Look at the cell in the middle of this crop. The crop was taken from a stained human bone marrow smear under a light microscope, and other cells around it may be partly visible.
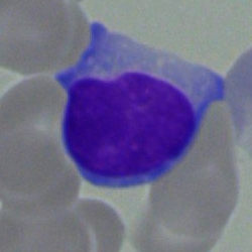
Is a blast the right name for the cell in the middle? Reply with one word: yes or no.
no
